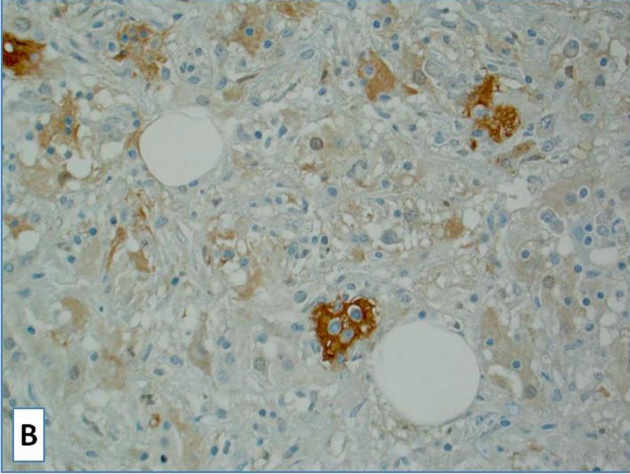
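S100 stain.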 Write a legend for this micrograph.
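Here large histiocytes stand out by their brown cytoplasm among many small unstained cells. A few of these large cells are stained a strong dark brown, while others show only a paler brown tint. Within the dark brown cytoplasm of some large cells, small round blue nuclei of lymphocytes can be seen lying inside the cell, which is emperipolesis. The surrounding small cells have round blue nuclei and do not take up the brown stain. Large round clear spaces are scattered between the cells.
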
